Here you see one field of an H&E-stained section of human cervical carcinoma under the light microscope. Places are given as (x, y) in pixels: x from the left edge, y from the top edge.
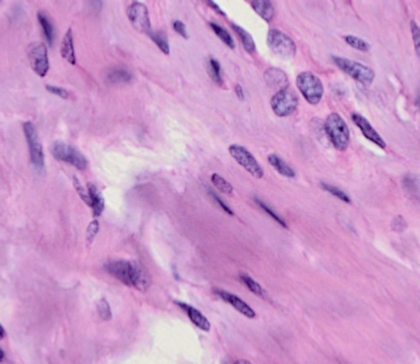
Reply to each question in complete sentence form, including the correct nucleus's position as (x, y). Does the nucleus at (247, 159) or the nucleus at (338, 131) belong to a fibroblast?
The nucleus whose cell is a fibroblast is the one at (247, 159).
